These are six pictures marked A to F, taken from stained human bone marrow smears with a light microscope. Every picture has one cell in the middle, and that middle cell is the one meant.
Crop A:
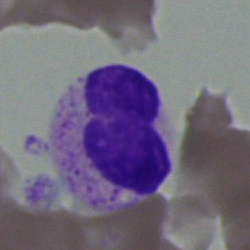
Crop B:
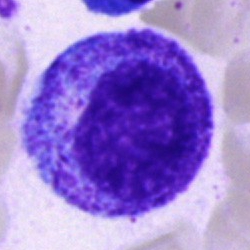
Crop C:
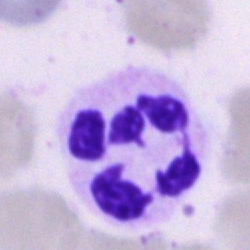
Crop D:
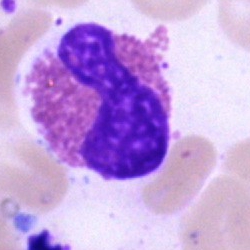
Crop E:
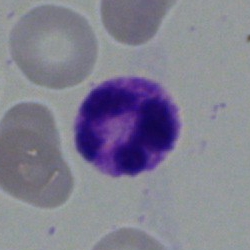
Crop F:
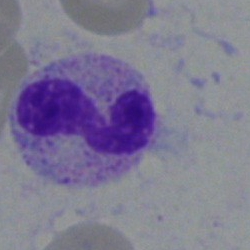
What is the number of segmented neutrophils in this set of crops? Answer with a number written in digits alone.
3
